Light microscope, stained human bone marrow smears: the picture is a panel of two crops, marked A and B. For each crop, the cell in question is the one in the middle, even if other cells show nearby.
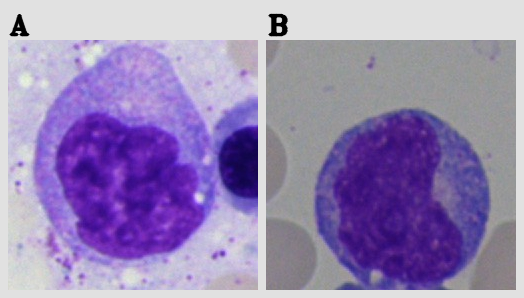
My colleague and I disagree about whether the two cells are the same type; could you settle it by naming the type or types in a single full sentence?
Yes, monocytes occupy the centre of both crops.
